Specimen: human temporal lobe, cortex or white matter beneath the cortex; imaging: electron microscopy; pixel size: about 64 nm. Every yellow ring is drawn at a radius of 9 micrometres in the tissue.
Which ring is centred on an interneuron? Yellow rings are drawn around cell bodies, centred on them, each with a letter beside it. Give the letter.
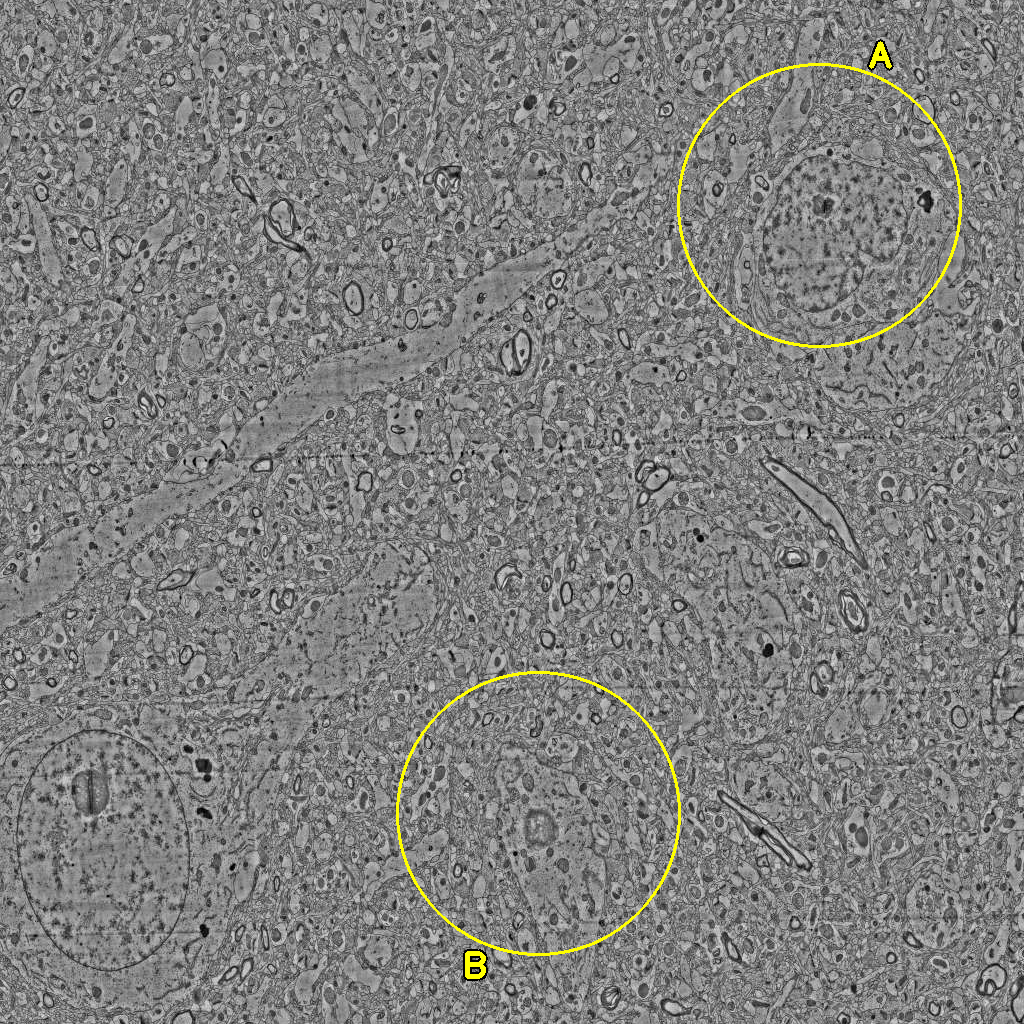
A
